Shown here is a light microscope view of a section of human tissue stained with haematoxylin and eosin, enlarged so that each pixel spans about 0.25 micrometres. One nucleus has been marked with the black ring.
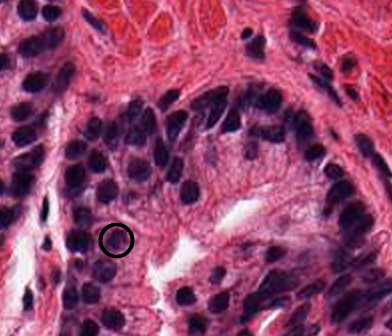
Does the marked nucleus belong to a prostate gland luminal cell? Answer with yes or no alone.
yes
